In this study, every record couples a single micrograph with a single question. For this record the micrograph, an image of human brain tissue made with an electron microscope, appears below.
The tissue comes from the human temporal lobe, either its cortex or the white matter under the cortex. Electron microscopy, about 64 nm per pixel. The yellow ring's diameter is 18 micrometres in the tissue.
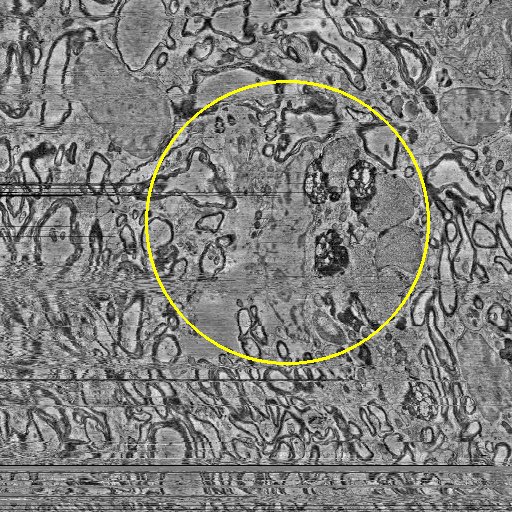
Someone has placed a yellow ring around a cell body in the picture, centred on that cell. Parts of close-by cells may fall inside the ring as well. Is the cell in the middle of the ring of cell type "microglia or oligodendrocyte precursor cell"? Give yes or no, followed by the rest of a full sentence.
No, the cell centred in the ring shown in the picture has a different cell type.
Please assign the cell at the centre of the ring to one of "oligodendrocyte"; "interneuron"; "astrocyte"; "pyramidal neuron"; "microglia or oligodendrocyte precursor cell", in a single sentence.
Instead, the cell at the centre of the yellow ring is an astrocyte.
